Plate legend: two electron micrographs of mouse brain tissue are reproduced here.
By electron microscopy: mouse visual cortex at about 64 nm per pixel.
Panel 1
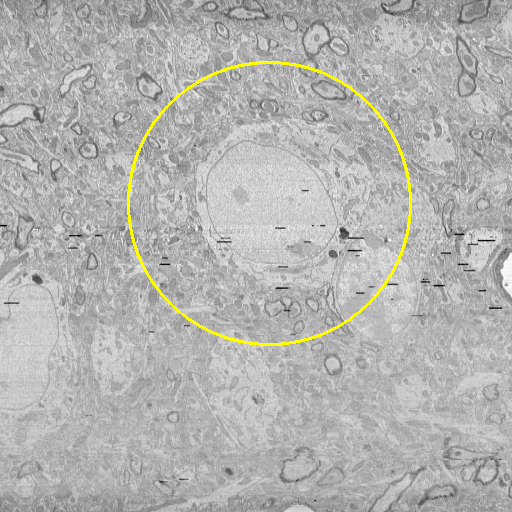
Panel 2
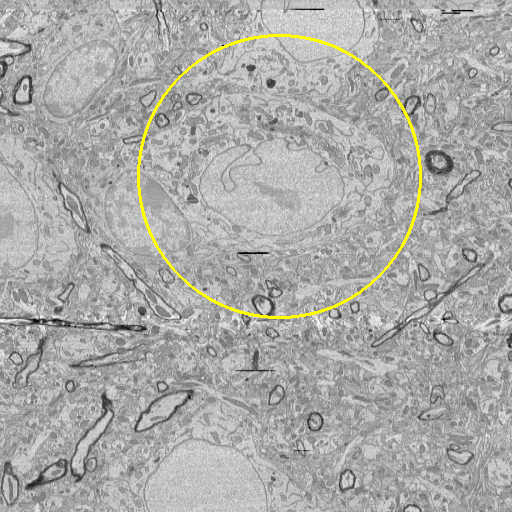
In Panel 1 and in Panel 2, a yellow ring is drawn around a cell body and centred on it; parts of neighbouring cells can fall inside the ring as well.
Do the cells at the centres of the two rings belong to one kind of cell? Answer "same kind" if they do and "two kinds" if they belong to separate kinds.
two kinds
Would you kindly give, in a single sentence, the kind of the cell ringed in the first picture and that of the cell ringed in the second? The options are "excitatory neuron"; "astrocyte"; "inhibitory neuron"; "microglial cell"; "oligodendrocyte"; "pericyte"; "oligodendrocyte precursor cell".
The second cell is an inhibitory neuron, and the first cell is an excitatory neuron.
